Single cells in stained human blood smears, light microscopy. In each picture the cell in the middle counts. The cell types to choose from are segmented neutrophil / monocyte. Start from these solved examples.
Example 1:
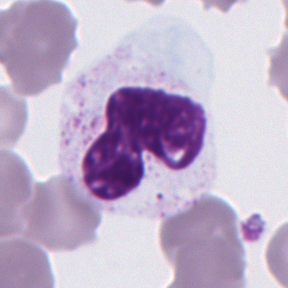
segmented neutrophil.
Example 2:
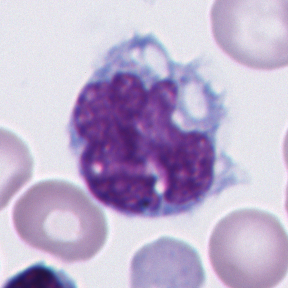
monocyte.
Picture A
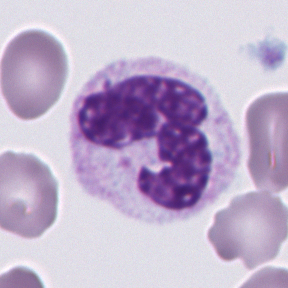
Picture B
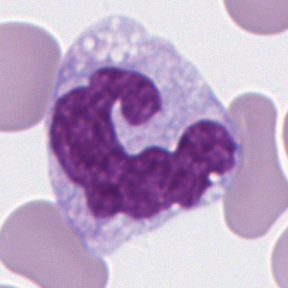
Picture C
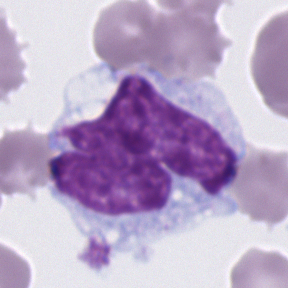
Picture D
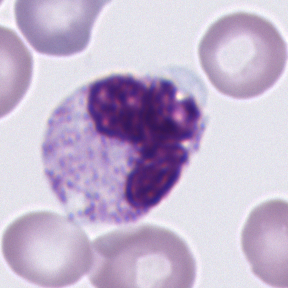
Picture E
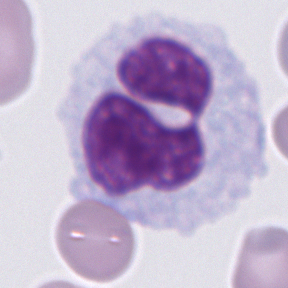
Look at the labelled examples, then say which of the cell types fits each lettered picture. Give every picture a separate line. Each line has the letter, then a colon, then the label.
A: segmented neutrophil.
B: monocyte.
C: monocyte.
D: segmented neutrophil.
E: monocyte.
